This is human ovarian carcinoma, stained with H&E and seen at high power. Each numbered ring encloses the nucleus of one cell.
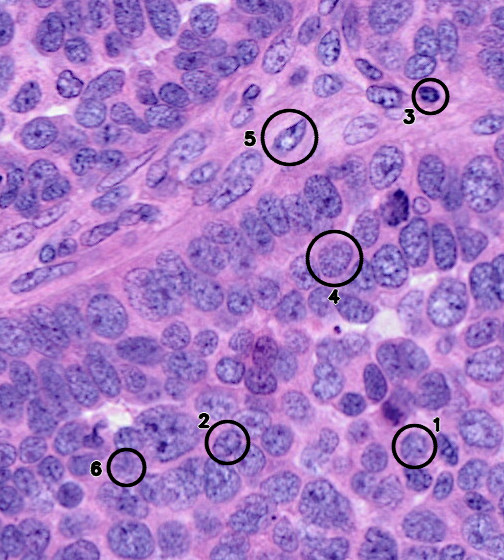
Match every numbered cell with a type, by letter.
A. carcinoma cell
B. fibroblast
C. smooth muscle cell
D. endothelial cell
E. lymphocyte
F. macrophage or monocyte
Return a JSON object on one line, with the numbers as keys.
{"1": "A", "2": "F", "3": "E", "4": "A", "5": "B", "6": "A"}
